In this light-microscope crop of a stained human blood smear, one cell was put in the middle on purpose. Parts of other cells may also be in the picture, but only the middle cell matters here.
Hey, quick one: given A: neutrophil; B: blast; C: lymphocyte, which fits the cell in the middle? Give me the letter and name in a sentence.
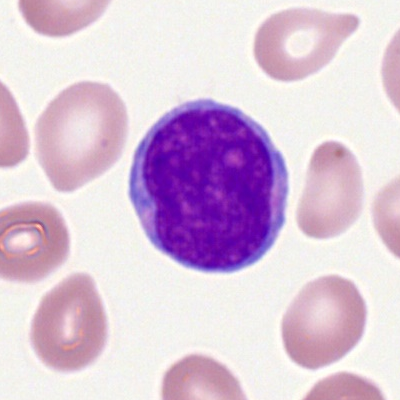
The centrally located cell is a blast, making option B the correct choice.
